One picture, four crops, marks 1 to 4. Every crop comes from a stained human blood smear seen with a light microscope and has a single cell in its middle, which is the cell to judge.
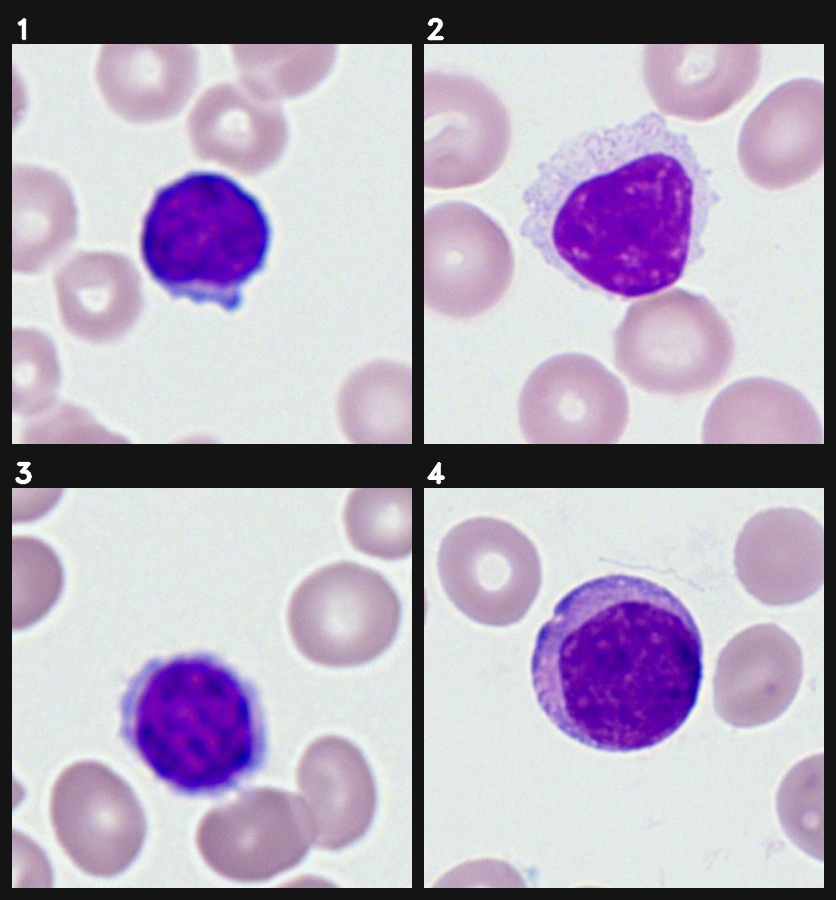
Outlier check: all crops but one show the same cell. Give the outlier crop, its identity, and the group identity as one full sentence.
Crop 4 is the odd one out, being a myeloblast, while all the other crops show lymphocytes.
